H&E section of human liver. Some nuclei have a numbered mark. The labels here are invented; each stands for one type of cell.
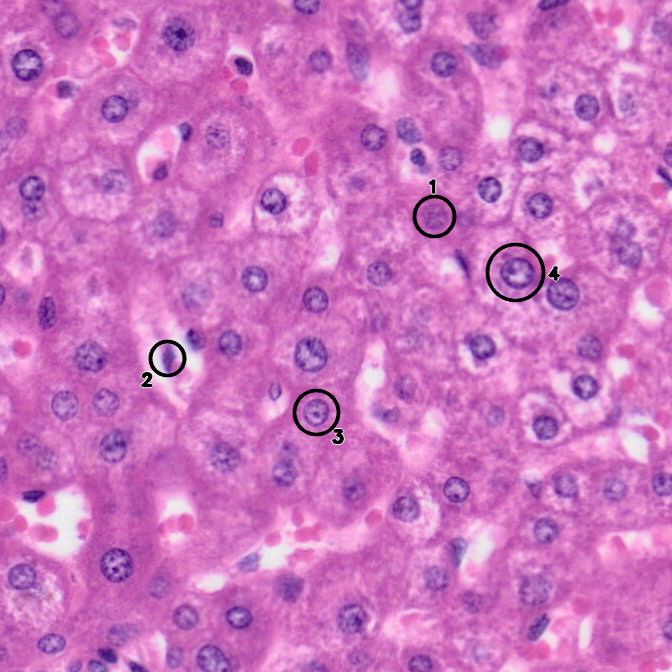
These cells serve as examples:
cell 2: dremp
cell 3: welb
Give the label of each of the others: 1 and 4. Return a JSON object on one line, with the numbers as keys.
{"1": "welb", "4": "welb"}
